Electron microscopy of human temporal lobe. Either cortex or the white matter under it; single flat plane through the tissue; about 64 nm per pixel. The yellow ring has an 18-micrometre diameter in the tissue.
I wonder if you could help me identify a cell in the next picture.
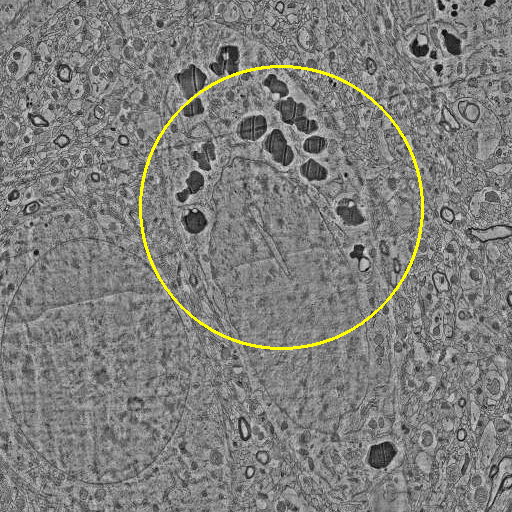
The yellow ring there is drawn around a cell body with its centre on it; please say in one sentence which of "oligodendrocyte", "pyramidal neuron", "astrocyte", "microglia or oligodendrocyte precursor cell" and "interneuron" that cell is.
The yellow ring is centred on an interneuron.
